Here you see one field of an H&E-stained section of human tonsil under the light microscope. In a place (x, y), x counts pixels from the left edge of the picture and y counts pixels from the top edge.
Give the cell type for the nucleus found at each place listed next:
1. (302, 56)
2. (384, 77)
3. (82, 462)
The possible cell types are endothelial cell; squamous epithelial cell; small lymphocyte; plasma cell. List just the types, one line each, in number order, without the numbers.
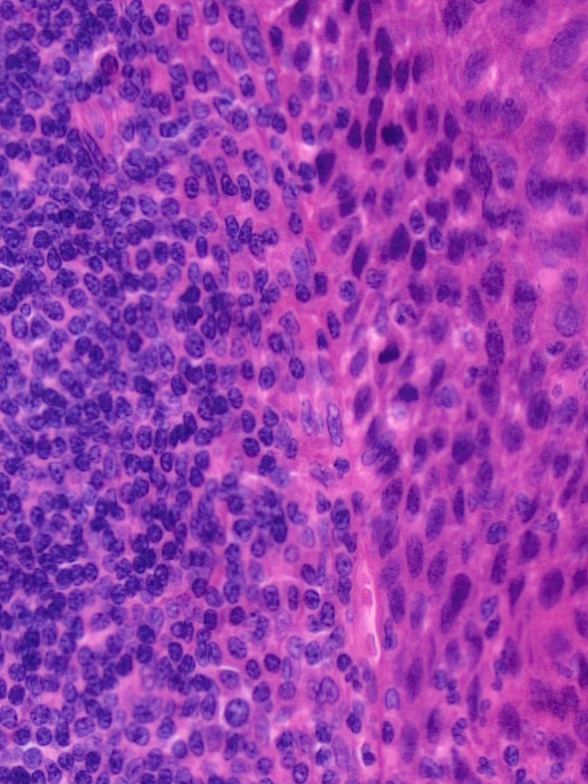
squamous epithelial cell
squamous epithelial cell
small lymphocyte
